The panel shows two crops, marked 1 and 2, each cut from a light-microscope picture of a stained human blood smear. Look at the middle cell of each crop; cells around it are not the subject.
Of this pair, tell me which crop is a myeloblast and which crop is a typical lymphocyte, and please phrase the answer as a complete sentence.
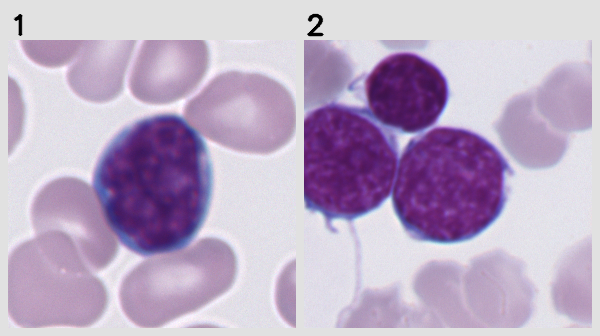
What is seen in crop 1 is a typical lymphocyte; what is seen in crop 2 is a myeloblast.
